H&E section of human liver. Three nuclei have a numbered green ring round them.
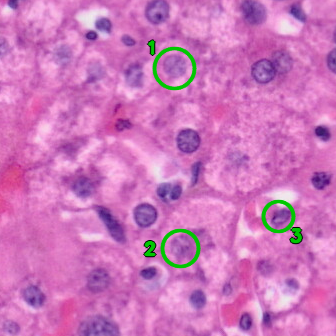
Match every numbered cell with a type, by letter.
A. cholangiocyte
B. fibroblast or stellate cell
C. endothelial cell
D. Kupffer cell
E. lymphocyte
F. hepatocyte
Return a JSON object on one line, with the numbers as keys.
{"1": "F", "2": "F", "3": "D"}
